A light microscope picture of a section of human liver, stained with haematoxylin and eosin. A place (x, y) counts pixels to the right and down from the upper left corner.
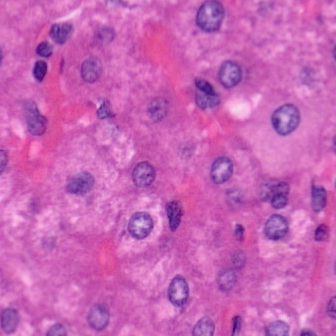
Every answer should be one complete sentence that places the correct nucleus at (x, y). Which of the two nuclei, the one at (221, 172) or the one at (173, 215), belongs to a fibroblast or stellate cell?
The nucleus positioned at (173, 215) forms part of a fibroblast or stellate cell.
